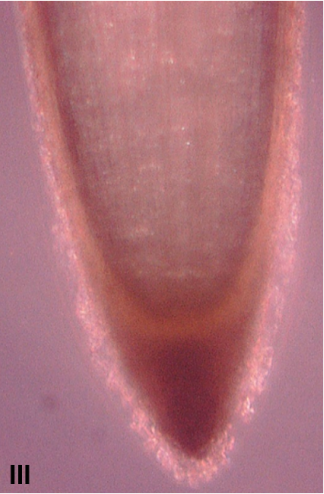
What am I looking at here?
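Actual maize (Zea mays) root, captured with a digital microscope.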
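A darker reddish conical root cap covers the tip and is set off from the paler tissue above by a band across the apex. A pale, finely granular fringe lines the outer surface along the flanks and around the tip.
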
